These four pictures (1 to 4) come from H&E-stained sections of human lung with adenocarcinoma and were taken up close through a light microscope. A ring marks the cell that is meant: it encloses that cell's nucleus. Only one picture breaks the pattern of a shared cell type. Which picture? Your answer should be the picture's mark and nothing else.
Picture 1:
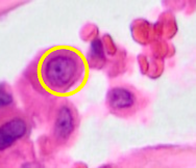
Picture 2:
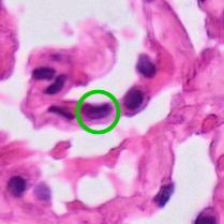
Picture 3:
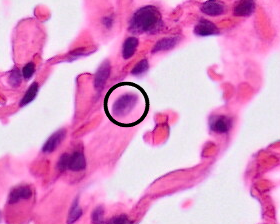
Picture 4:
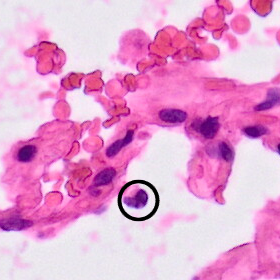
1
